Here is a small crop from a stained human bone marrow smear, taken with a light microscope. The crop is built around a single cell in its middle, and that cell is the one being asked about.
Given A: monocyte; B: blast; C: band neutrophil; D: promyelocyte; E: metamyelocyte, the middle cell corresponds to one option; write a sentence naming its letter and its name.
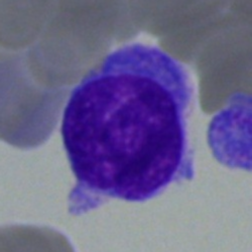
At the centre of the crop lies a blast, which makes option B correct.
